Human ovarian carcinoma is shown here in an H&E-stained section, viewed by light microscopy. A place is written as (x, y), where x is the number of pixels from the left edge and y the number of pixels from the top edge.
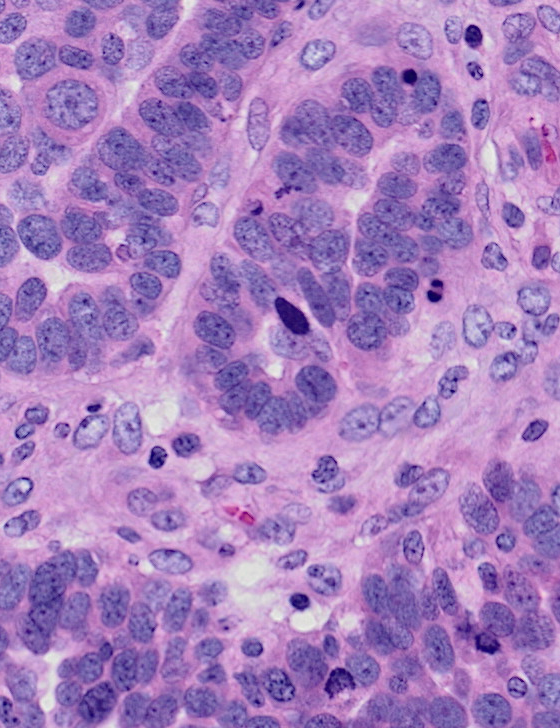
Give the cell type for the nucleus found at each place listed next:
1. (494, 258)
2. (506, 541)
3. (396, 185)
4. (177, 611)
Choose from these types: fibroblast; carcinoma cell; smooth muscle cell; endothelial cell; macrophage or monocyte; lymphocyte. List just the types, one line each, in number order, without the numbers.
macrophage or monocyte
macrophage or monocyte
carcinoma cell
carcinoma cell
